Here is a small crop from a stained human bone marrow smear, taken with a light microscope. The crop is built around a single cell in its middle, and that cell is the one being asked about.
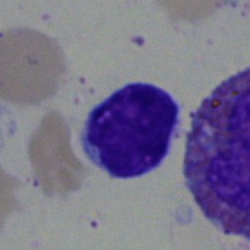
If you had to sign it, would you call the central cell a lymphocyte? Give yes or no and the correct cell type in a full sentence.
Yes, in the middle of the crop is a lymphocyte.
